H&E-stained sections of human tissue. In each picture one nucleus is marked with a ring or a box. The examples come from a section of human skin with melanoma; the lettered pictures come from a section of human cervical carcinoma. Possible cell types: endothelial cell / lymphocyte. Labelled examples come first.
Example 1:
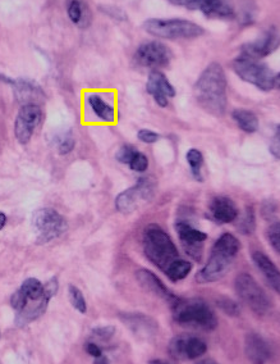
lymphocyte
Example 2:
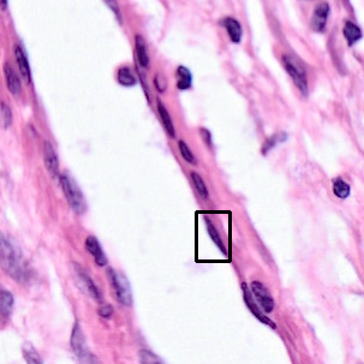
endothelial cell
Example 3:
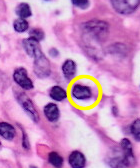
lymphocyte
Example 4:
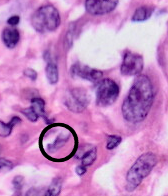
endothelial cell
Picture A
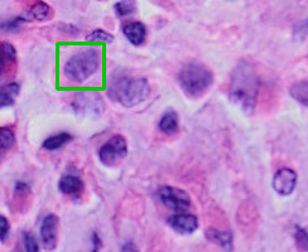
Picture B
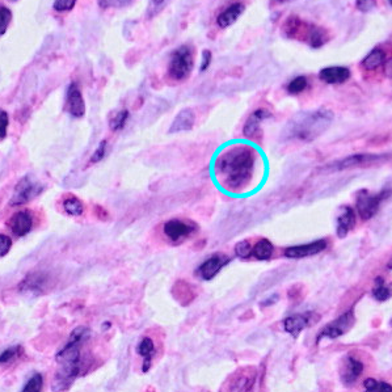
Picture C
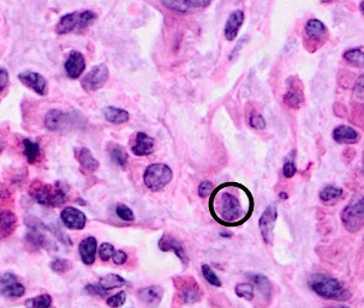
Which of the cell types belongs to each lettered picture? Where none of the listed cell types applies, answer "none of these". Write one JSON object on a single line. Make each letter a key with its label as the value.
{"A": "none of these", "B": "none of these", "C": "none of these"}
